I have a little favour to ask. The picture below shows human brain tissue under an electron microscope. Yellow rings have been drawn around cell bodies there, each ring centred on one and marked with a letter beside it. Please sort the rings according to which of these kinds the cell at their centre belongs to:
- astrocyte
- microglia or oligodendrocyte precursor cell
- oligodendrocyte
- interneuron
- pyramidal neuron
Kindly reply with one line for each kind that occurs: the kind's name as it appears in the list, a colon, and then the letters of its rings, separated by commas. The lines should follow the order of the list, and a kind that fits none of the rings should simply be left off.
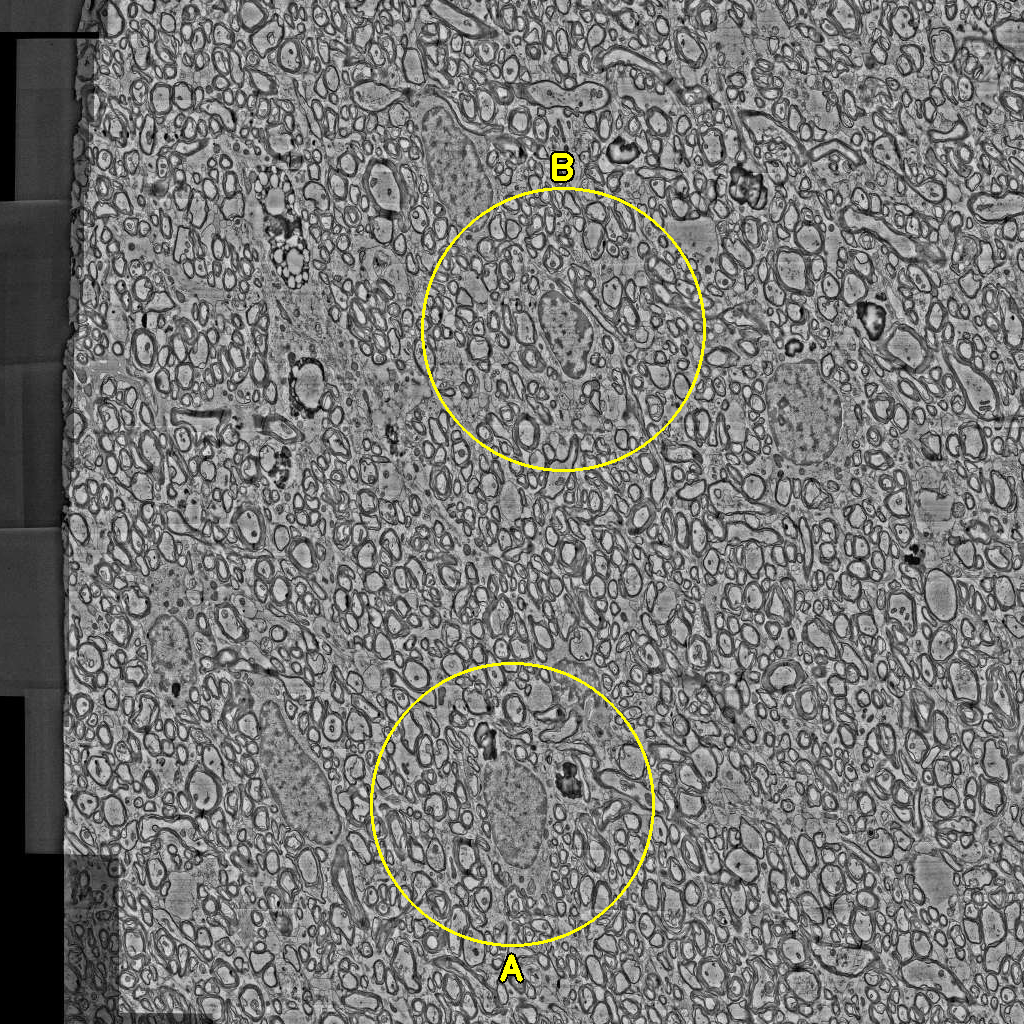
microglia or oligodendrocyte precursor cell: B
oligodendrocyte: A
